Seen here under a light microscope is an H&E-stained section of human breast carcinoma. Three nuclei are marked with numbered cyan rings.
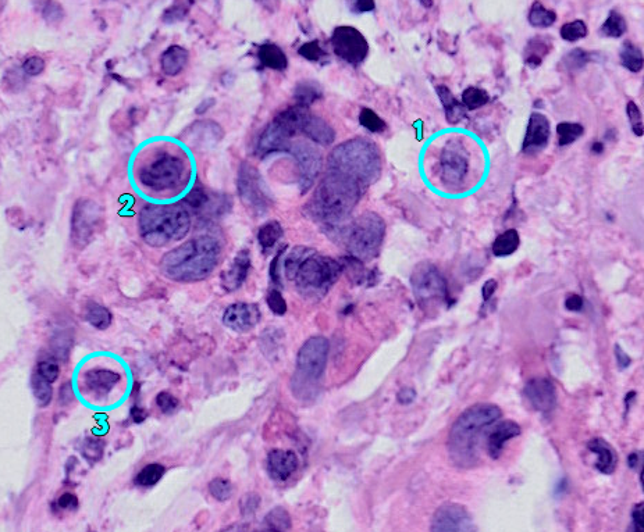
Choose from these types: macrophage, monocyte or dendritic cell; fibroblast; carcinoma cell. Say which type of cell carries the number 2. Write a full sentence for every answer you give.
The marked nucleus 2 is that of a carcinoma cell.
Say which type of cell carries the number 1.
Identified by the number 1, the cell is a macrophage, monocyte or dendritic cell.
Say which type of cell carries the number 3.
The nucleus labelled 3 belongs to a macrophage, monocyte or dendritic cell.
